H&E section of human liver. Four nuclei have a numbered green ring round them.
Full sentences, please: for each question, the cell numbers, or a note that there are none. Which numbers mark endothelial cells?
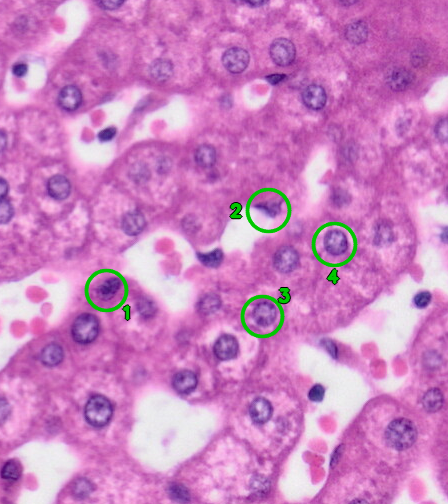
Among the marked cells, an endothelial cell is found only at number 2.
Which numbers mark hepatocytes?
So, the cells with numbers 3 and 4 are hepatocytes.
